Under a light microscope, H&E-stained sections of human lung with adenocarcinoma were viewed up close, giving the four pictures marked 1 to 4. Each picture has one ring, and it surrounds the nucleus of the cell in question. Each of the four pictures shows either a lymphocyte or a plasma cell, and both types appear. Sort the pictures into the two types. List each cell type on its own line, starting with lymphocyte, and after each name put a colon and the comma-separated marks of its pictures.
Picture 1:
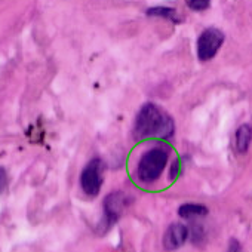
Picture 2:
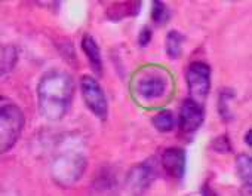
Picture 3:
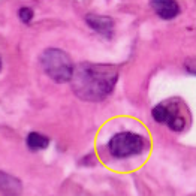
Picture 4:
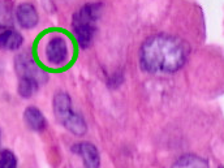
lymphocyte: 2, 4
plasma cell: 1, 3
